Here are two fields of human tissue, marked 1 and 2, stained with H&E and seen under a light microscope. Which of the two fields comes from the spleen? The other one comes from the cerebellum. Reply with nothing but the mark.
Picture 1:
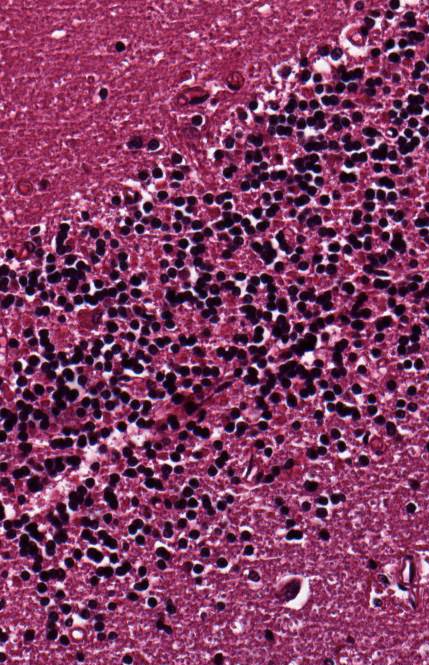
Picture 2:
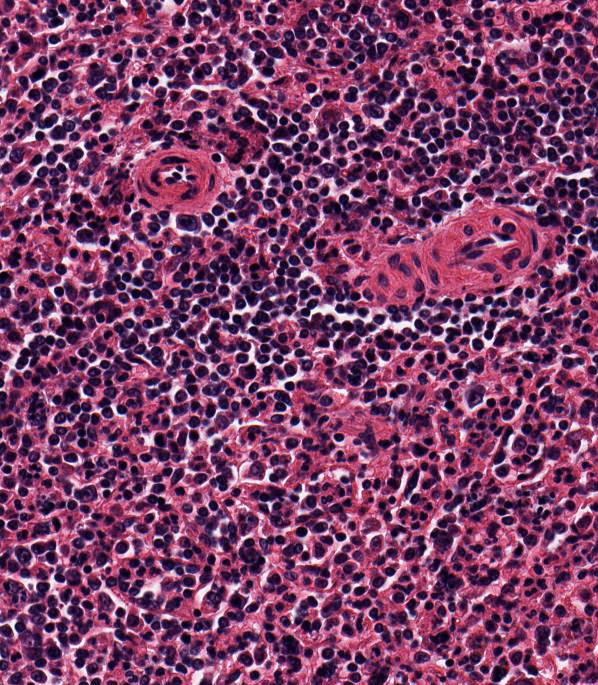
2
